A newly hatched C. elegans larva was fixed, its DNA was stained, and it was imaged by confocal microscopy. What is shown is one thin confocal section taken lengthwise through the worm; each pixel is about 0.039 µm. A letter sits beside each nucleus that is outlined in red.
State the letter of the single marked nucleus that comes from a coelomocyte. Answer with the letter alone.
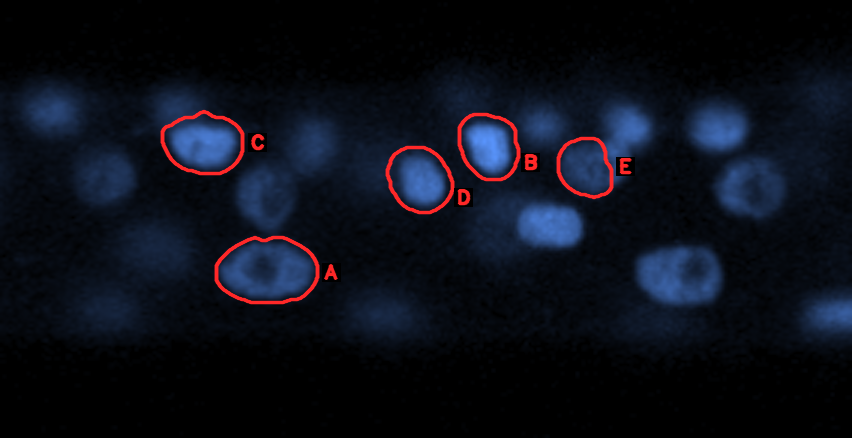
B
